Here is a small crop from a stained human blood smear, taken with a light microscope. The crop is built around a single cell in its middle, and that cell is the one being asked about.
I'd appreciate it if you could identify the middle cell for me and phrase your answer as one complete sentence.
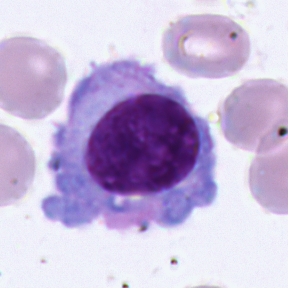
The cell at the middle of the frame should be recorded as a plasma cell.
